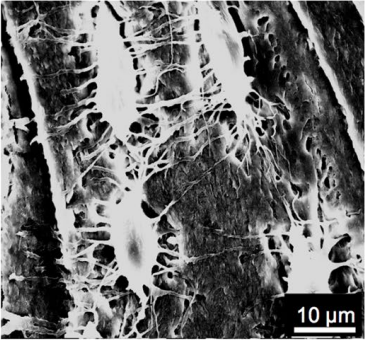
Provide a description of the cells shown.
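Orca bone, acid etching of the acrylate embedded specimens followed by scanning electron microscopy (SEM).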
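Several elongated cell-body casts lie roughly aligned with the long bands of the matrix, each giving off many fine, branching processes in all directions. These canalicular casts are long and numerous and meet those of neighbouring lacunae, so that the cells are linked into a dense three-dimensional network. Between the casts the background shows the pitted, streaked texture of etched matrix. The overall picture is of a richly interconnected lacunocanalicular system.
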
